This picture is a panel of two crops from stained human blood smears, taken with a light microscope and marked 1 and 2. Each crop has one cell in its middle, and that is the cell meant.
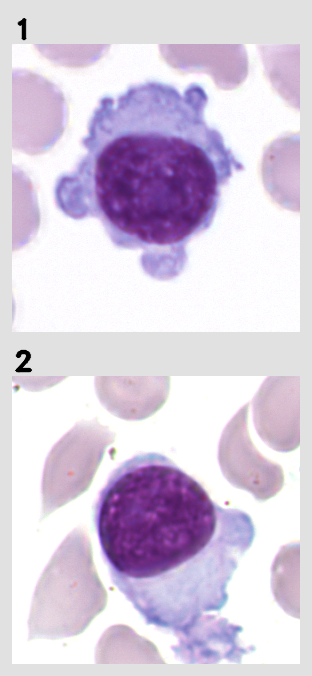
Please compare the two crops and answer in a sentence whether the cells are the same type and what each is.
Yes, plasma cells are seen in both crops.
